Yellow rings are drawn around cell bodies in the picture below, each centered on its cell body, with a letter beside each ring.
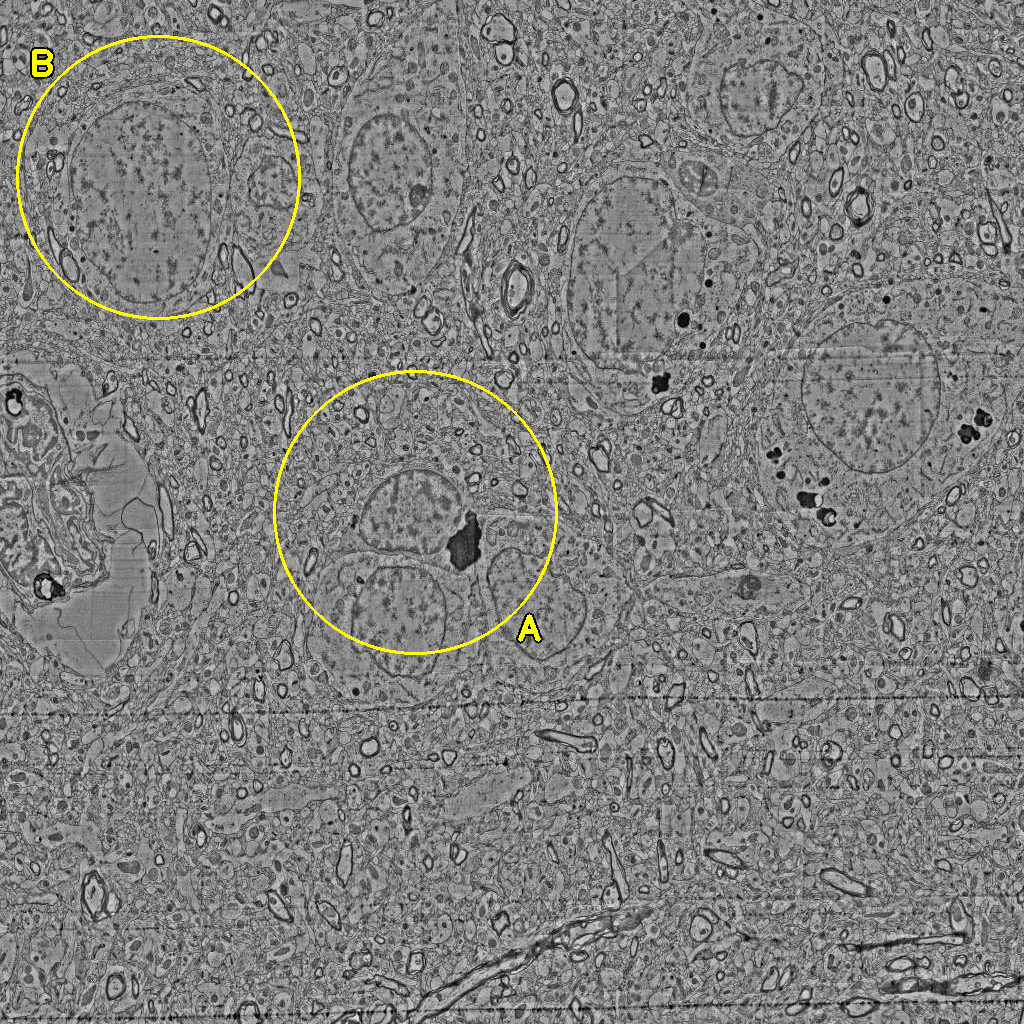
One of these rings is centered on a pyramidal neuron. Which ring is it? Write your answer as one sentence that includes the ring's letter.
It is ring B.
